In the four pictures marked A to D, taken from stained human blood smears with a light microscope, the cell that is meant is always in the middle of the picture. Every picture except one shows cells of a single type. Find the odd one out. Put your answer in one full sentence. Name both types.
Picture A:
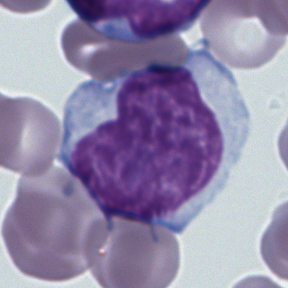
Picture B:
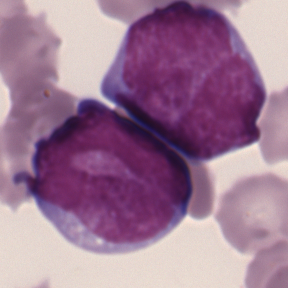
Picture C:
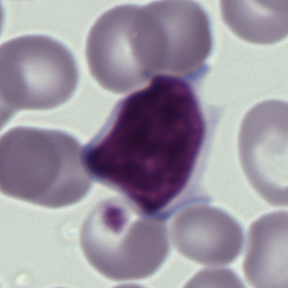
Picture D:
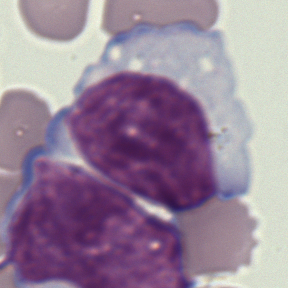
Unlike the rest, which show myeloblasts, picture C shows a typical lymphocyte.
